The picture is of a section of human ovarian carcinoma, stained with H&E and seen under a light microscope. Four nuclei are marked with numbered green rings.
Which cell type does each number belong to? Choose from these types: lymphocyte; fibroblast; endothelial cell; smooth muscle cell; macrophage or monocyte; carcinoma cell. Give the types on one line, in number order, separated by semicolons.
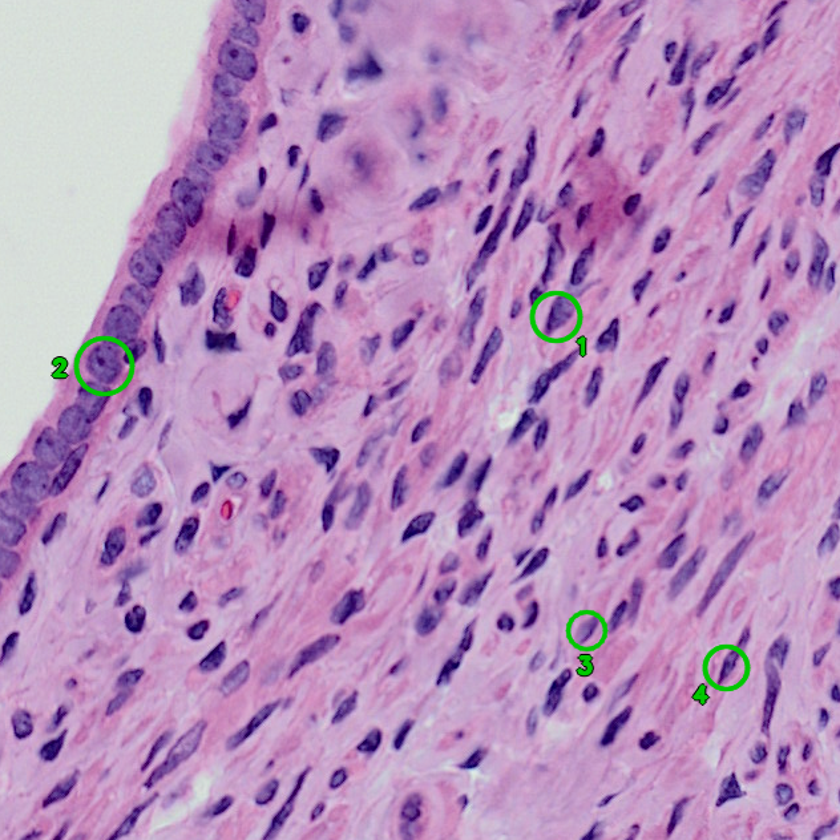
smooth muscle cell; carcinoma cell; smooth muscle cell; smooth muscle cell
